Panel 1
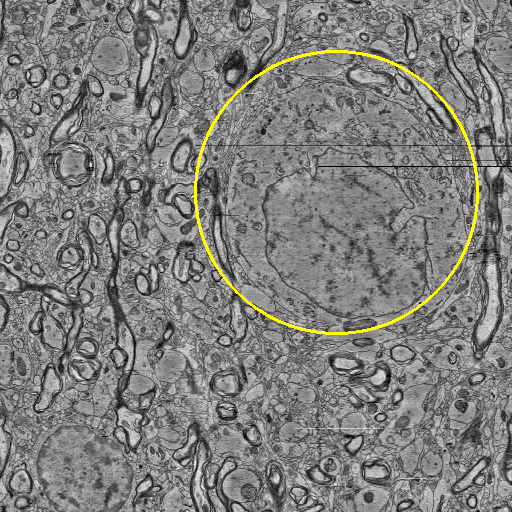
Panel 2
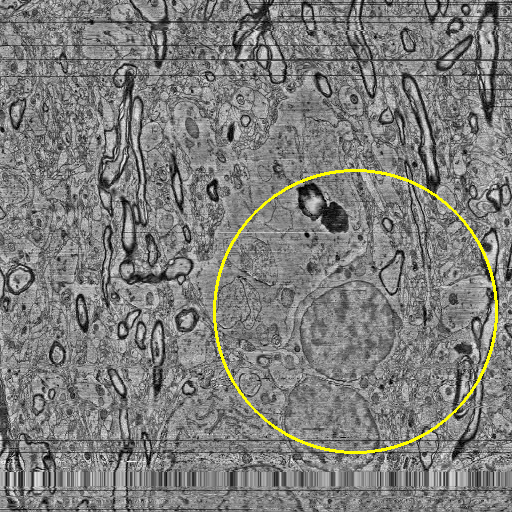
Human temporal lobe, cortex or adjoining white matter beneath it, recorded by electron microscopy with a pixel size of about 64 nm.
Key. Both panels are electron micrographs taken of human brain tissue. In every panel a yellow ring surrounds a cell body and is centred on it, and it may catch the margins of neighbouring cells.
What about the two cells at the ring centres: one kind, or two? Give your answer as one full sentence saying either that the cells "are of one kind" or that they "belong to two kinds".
Across Panels 1 and 2, the two cells at the ring centres belong to two kinds.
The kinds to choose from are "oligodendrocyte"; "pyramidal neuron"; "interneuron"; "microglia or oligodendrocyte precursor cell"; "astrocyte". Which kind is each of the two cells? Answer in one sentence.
Of the two, the first cell is a pyramidal neuron and the second cell is an oligodendrocyte.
